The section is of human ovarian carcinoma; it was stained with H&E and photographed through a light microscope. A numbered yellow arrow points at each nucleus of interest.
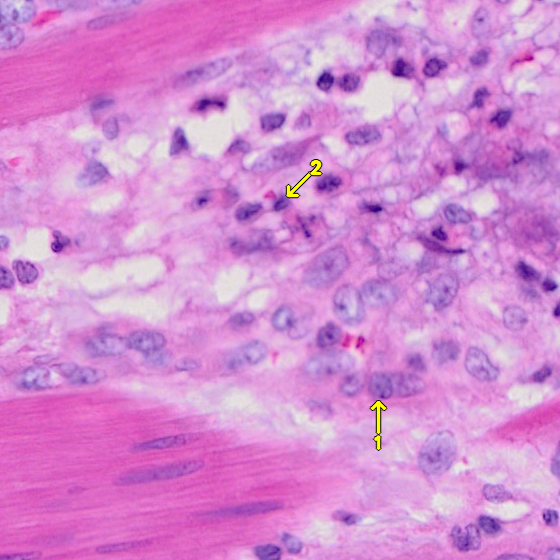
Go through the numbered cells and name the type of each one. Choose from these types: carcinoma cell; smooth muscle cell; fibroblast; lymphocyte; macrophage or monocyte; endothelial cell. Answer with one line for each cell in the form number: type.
1: endothelial cell
2: lymphocyte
